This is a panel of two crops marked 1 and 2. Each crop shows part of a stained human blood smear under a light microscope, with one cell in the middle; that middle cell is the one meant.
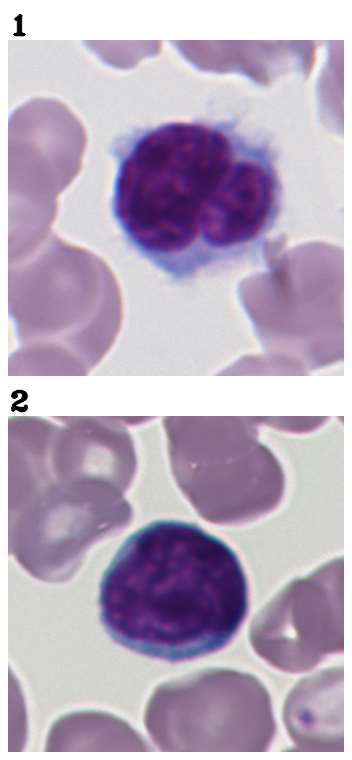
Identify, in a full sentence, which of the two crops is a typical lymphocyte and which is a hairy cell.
Crop 1 features a hairy cell, and crop 2 features a typical lymphocyte.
